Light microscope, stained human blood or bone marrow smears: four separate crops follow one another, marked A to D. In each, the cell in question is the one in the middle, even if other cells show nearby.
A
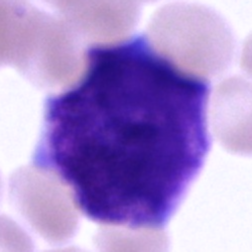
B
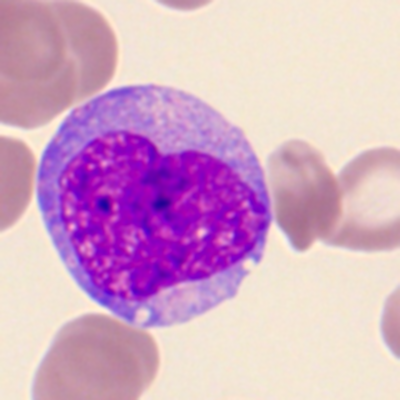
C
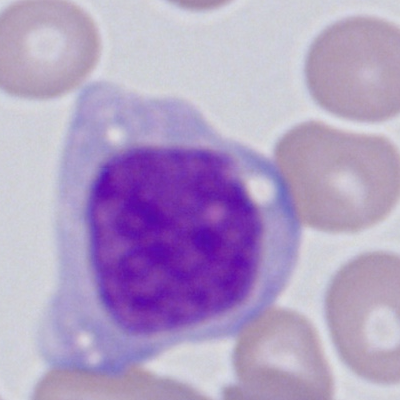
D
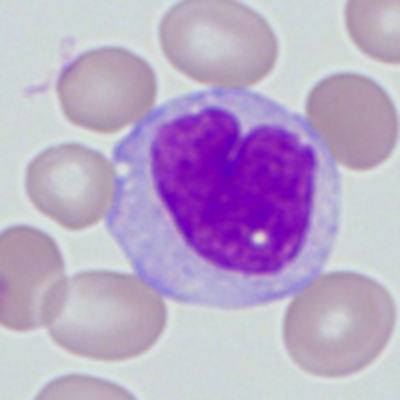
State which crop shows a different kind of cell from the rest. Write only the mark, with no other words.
A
